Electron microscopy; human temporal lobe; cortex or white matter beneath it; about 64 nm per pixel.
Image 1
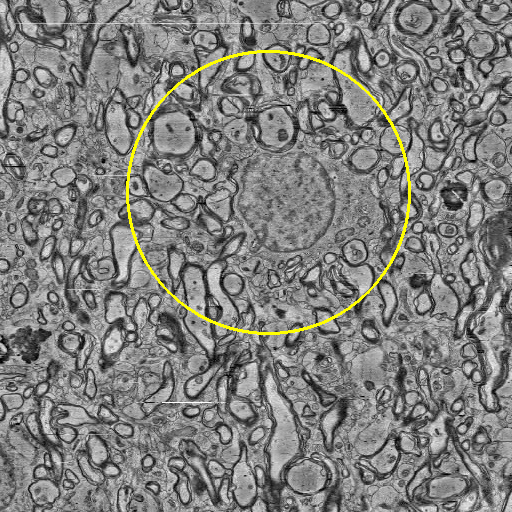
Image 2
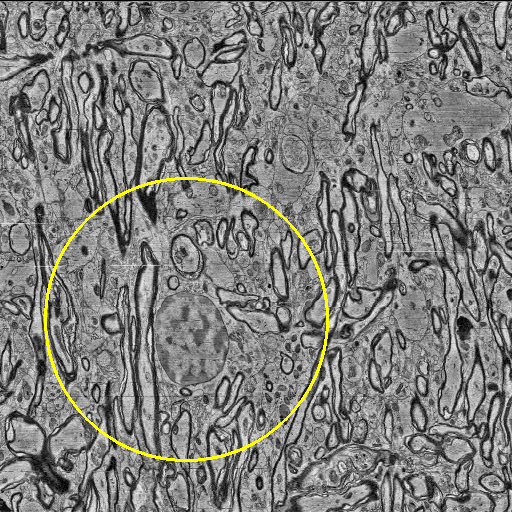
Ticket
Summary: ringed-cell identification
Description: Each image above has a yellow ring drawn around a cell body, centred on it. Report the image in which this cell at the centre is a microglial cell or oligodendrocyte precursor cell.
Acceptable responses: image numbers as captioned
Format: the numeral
2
